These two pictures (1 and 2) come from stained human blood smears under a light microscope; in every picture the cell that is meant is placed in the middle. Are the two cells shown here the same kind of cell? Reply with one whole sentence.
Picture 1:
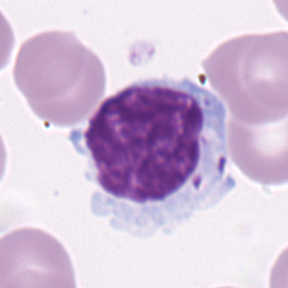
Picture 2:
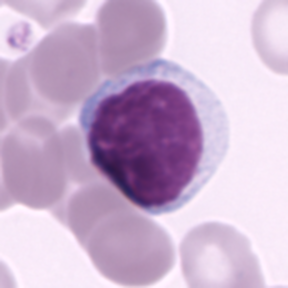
Yes, they are the same type: both are large granular lymphocytes.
